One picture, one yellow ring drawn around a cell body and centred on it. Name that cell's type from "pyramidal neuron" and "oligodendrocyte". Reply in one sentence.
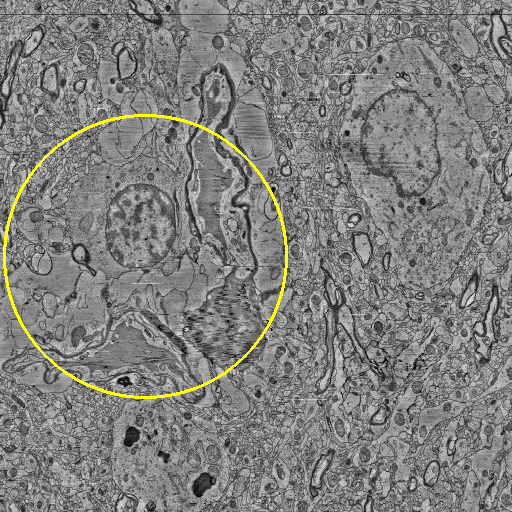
Centred in the ring is an oligodendrocyte.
